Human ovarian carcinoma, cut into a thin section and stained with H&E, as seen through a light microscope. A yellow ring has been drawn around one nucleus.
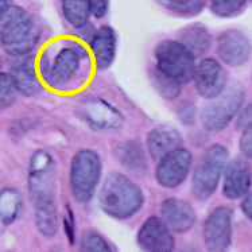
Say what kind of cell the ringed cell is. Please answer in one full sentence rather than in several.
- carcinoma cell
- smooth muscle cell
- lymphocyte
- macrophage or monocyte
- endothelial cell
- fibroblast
In the context of this tissue, the ringed cell is a carcinoma cell.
